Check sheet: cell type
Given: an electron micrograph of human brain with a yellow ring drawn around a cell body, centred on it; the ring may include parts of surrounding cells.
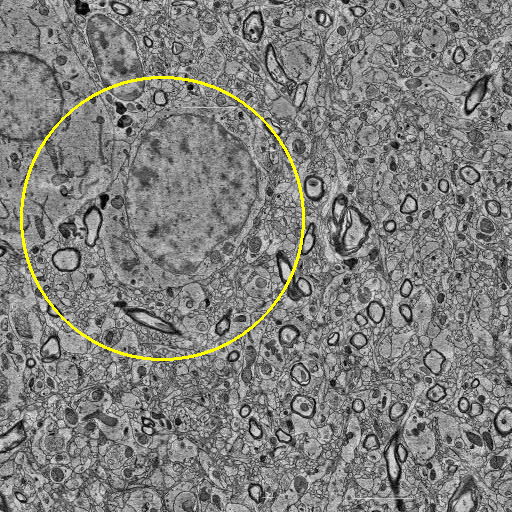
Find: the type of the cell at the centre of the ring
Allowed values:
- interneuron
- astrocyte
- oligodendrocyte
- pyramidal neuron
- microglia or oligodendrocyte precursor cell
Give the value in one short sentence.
Here the ringed cell is an interneuron.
